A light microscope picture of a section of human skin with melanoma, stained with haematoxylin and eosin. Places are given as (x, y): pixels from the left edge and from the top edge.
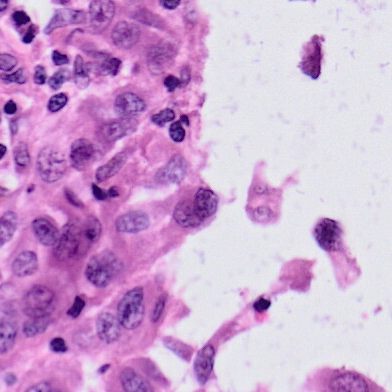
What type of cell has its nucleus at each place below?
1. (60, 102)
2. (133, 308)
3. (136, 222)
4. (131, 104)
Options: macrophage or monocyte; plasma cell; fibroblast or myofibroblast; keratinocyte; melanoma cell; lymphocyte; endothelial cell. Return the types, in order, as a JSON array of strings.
["lymphocyte", "melanoma cell", "melanoma cell", "melanoma cell"]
